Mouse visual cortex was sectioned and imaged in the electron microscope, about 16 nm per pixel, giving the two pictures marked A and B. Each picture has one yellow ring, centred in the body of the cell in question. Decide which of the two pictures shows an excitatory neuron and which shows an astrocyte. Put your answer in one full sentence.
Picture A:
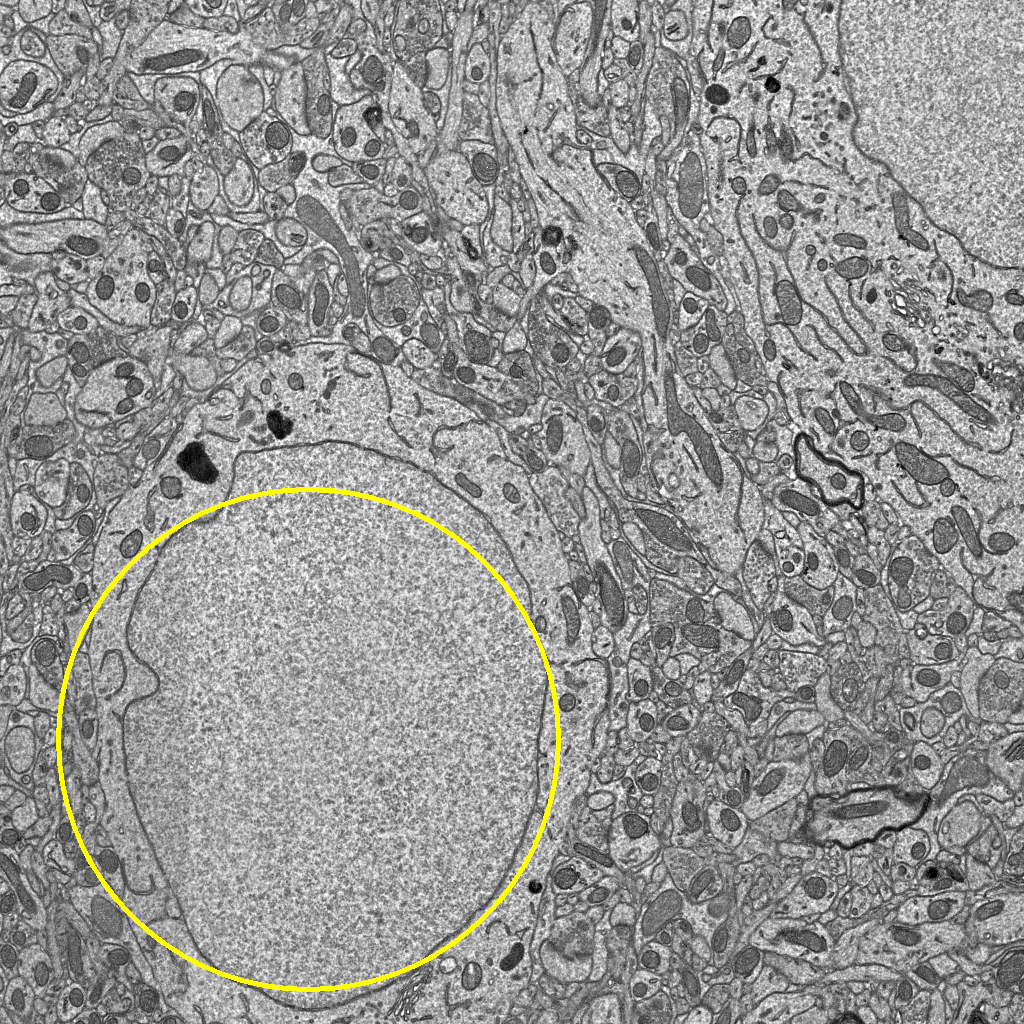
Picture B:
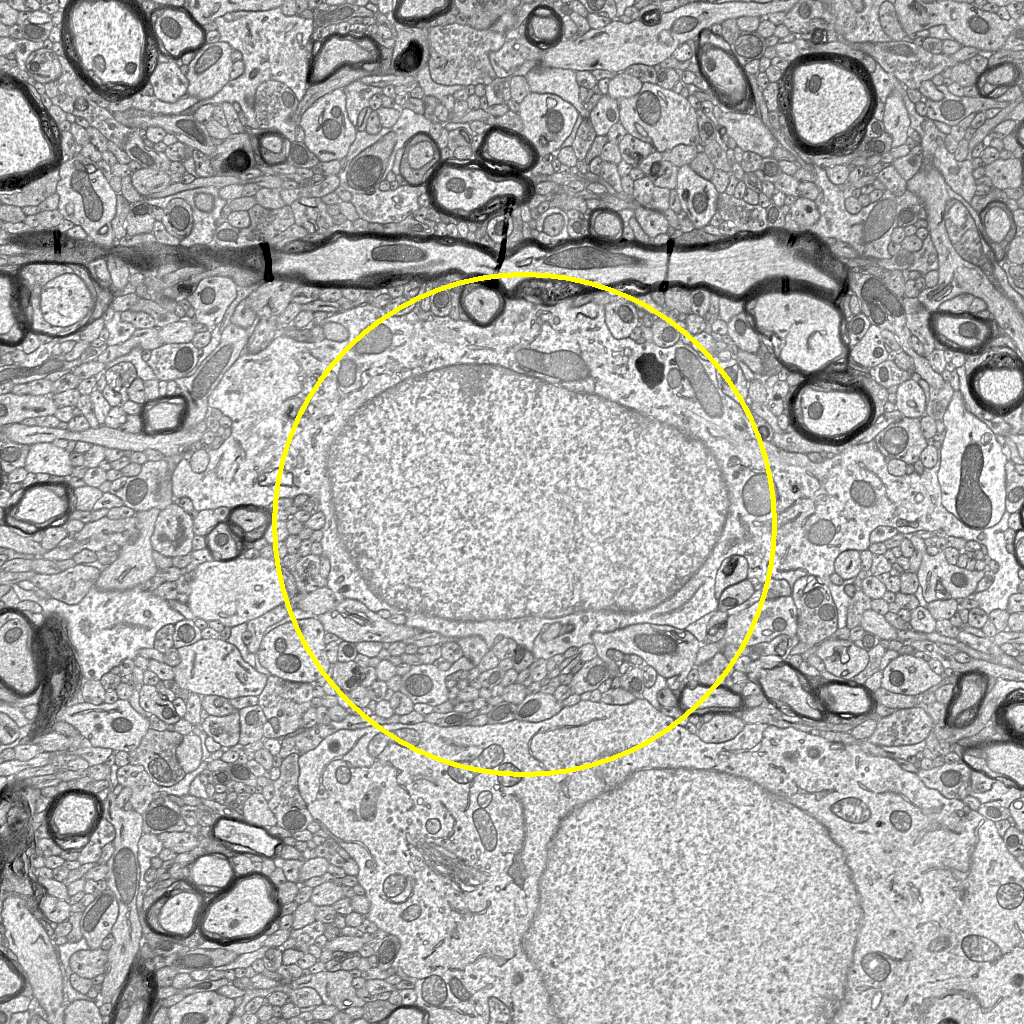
Picture B shows an astrocyte, while picture A shows an excitatory neuron.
